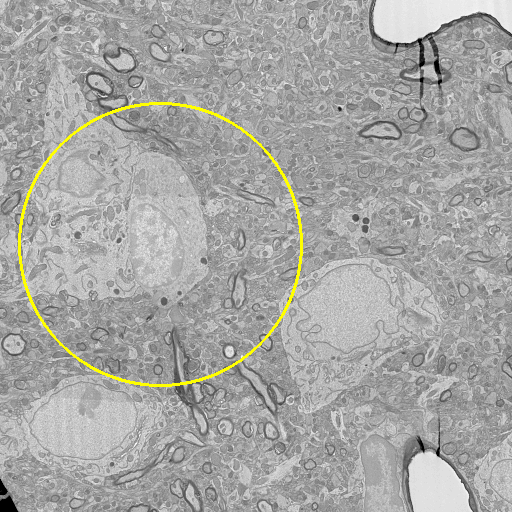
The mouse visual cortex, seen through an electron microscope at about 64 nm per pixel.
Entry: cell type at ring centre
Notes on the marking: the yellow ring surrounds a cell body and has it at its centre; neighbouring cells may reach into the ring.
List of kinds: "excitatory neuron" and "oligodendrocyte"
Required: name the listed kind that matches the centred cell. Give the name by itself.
oligodendrocyte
